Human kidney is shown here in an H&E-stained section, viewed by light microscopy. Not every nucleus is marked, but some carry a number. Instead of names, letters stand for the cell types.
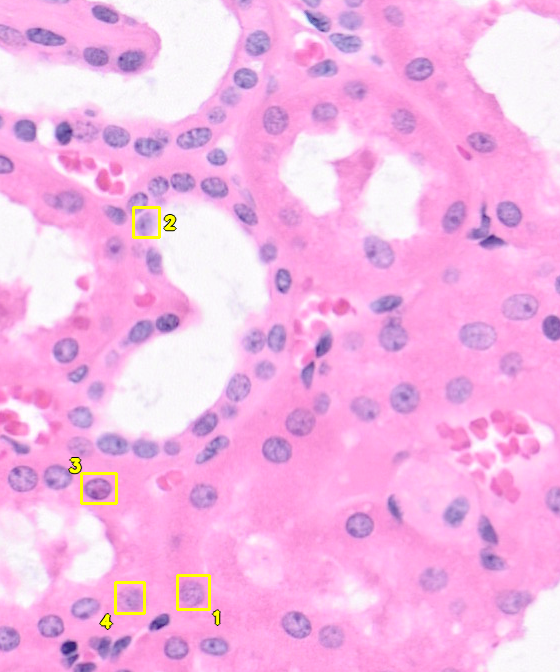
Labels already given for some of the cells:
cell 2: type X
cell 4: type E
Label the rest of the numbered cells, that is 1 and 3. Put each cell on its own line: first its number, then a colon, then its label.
1: type E
3: type E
